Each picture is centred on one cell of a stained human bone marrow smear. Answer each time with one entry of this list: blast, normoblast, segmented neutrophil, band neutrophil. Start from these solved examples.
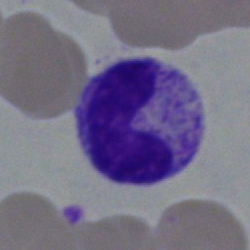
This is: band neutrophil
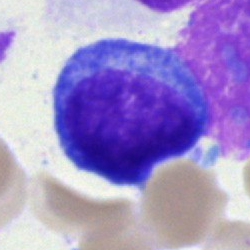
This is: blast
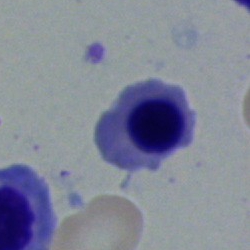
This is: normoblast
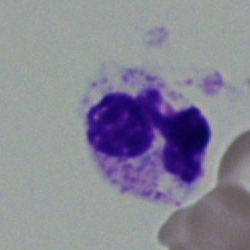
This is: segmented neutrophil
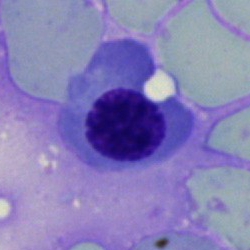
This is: normoblast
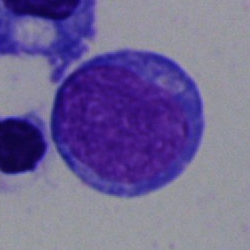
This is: blast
